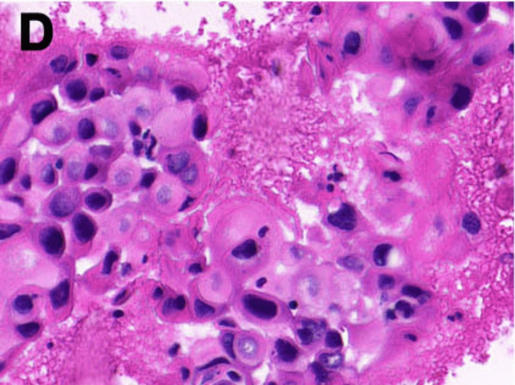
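These are malignant squamous tumor cells in a cell block, lying in loose clusters within a pale pink fibrinous and bloody background. The cells are large and polygonal with abundant dense pink to glassy eosinophilic cytoplasm and sharp cell borders. Their nuclei are enlarged, dark and irregular in size and shape, some with visible nucleoli, and a few cells hold more than one nucleus. The marked variation in nuclear size and the hyperchromasia indicate severe atypia.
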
